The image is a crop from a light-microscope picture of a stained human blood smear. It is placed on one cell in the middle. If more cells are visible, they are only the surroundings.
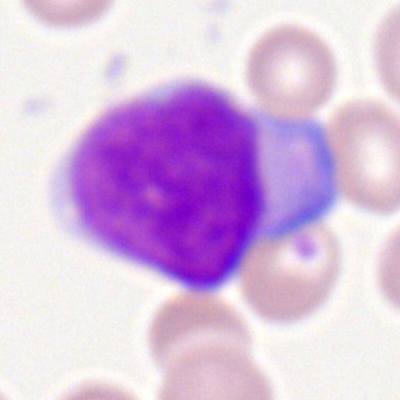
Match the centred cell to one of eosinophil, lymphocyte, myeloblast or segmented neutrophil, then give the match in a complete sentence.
The central element of this crop is a cell, namely a myeloblast.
